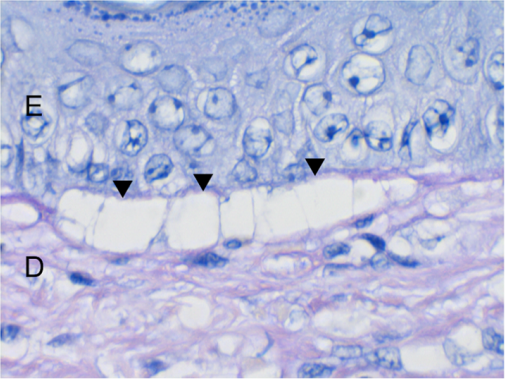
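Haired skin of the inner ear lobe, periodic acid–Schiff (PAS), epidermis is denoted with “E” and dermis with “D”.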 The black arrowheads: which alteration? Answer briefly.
Larger, confluent vacuoles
